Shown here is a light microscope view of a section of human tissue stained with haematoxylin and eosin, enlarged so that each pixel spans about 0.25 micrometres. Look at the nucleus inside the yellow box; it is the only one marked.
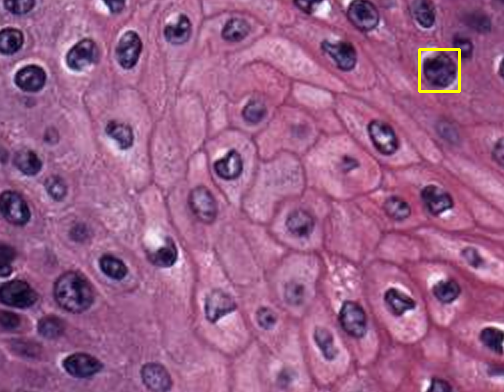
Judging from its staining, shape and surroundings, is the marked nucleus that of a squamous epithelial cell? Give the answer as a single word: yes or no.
yes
